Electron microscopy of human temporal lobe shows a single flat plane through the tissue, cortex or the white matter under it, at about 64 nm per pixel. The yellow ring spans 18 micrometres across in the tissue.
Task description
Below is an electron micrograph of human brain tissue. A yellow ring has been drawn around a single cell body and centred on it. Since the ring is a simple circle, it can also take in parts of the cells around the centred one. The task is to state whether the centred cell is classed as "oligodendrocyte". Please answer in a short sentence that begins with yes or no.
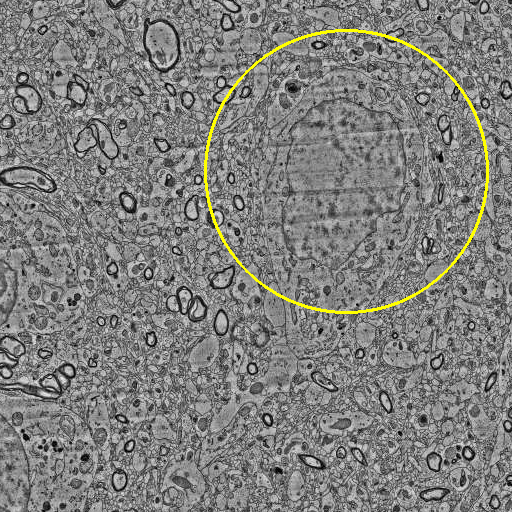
No, the centred cell is classed otherwise.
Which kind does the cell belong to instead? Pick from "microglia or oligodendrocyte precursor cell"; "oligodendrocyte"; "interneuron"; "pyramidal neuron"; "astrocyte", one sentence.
The ringed cell in this picture is, instead, an interneuron.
